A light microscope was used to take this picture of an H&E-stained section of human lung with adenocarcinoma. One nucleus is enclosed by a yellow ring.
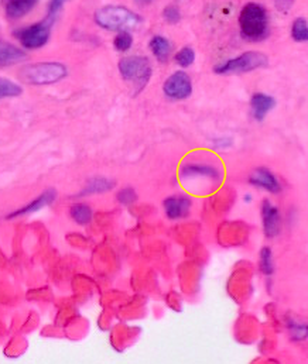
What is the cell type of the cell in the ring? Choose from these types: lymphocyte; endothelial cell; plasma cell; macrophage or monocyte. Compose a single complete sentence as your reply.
Cytologically, the cell in the ring is to be regarded as an endothelial cell.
